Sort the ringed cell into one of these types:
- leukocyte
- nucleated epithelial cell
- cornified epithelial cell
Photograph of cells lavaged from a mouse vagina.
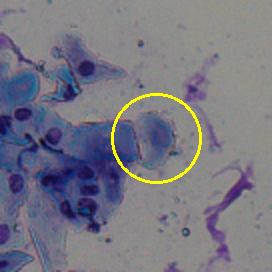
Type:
cornified epithelial cell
